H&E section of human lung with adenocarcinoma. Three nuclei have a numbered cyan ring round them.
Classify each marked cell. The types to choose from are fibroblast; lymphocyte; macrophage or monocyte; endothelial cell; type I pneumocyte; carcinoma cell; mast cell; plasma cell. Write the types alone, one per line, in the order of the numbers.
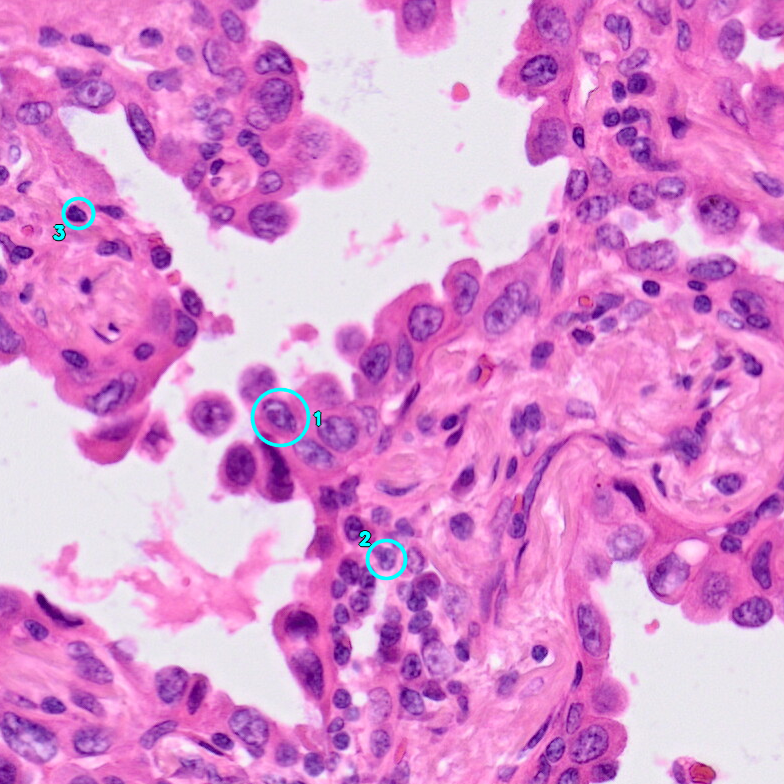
carcinoma cell
lymphocyte
lymphocyte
